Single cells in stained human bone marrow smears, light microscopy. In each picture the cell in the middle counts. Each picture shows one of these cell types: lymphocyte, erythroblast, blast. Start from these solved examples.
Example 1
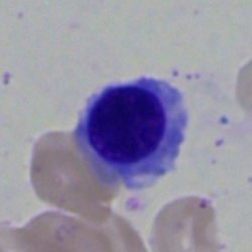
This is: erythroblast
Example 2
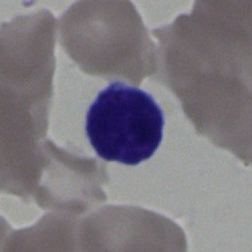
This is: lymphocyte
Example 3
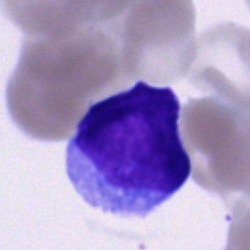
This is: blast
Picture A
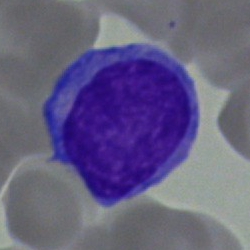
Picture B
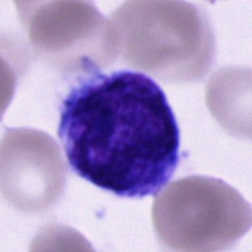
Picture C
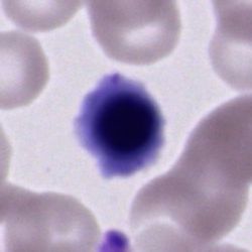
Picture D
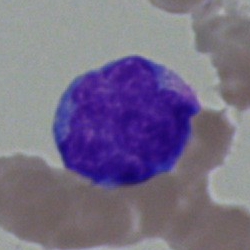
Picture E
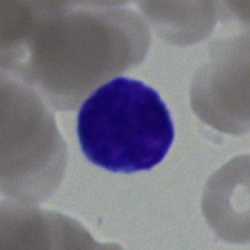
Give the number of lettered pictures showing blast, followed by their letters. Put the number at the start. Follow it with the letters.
3, namely A, B, D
